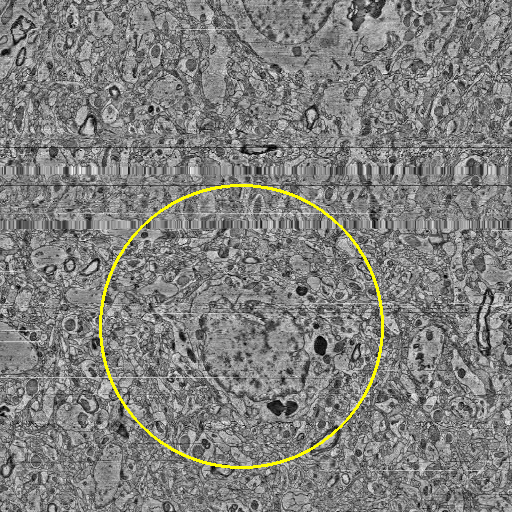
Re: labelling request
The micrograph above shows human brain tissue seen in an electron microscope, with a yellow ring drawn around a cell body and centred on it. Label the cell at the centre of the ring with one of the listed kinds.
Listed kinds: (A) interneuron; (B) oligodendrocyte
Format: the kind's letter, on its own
A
